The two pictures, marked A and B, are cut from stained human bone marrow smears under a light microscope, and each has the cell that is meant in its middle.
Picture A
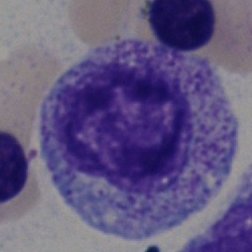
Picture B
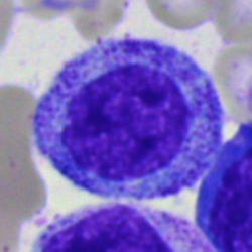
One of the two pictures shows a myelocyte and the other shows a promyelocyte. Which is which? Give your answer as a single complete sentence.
In picture A the cell is a myelocyte; in picture B, a promyelocyte.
